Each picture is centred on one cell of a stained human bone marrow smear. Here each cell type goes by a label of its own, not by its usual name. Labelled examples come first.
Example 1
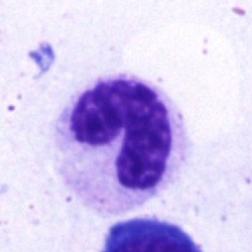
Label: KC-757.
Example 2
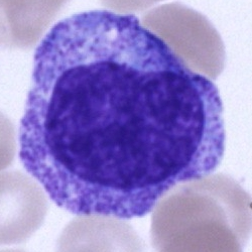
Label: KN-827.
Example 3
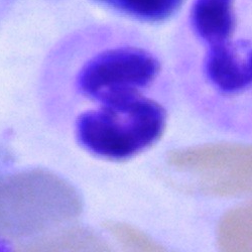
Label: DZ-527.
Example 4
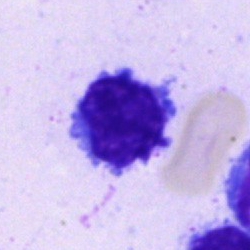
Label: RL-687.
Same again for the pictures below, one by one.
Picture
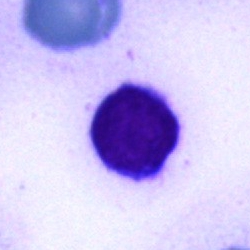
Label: RL-687.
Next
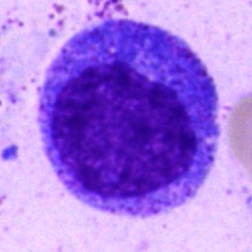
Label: KN-827.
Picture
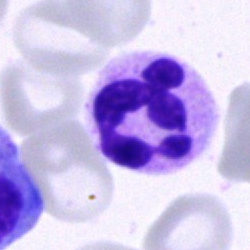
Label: DZ-527.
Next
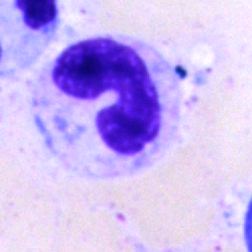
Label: KC-757.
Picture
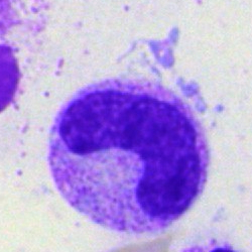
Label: KC-757.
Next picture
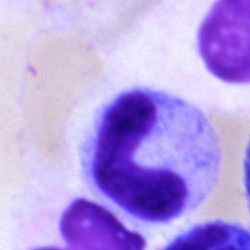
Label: KC-757.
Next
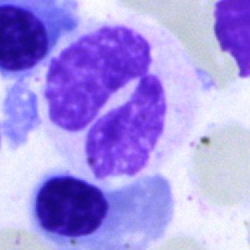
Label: DZ-527.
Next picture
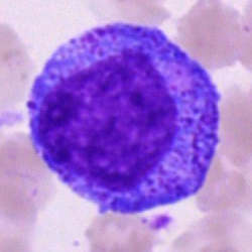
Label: KN-827.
